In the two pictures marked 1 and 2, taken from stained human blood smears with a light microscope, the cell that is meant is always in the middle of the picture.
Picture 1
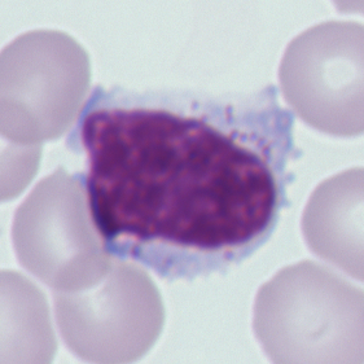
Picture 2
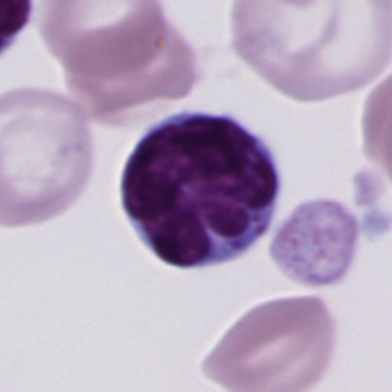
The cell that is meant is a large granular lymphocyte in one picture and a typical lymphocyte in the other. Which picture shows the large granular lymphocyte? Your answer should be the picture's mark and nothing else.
1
